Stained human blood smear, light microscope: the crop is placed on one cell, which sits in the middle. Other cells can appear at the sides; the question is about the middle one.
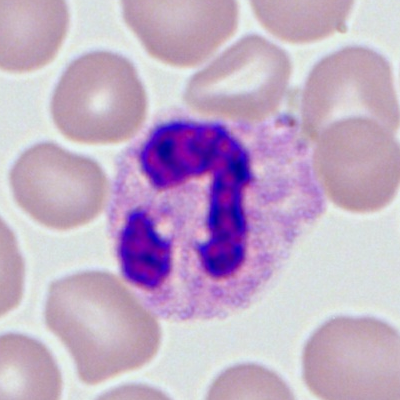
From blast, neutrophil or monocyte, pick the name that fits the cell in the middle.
neutrophil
